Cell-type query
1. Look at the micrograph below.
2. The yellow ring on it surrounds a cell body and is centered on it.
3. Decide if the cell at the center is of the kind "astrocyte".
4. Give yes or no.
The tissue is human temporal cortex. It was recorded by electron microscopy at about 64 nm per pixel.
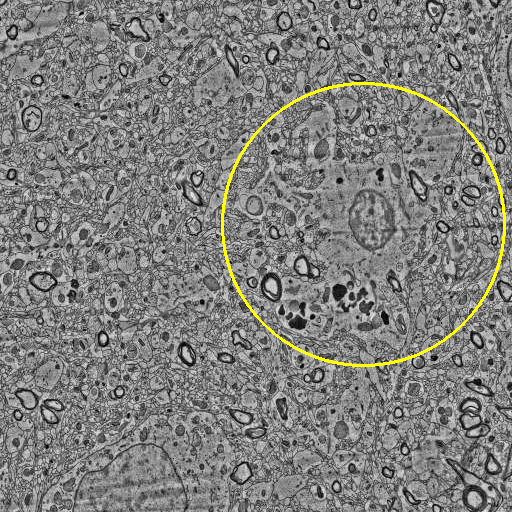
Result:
yes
